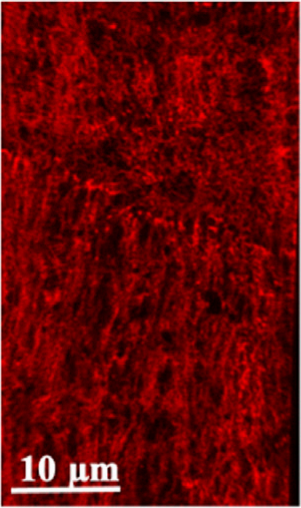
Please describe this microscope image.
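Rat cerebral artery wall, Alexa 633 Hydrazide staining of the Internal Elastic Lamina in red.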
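Toward the lower part of the field the fibres tend to run lengthwise, while in the upper part they form a more tangled net. Dark gaps lie between the fibres throughout.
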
